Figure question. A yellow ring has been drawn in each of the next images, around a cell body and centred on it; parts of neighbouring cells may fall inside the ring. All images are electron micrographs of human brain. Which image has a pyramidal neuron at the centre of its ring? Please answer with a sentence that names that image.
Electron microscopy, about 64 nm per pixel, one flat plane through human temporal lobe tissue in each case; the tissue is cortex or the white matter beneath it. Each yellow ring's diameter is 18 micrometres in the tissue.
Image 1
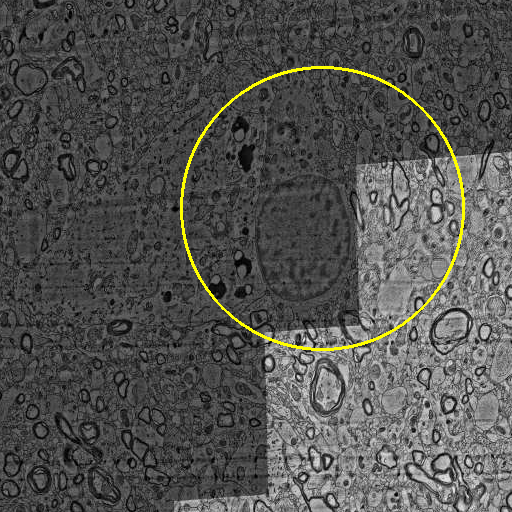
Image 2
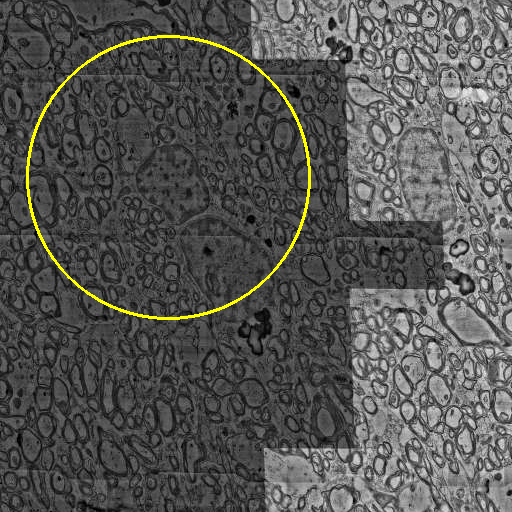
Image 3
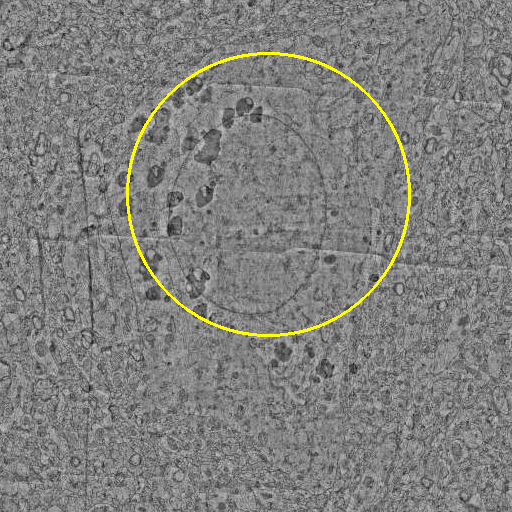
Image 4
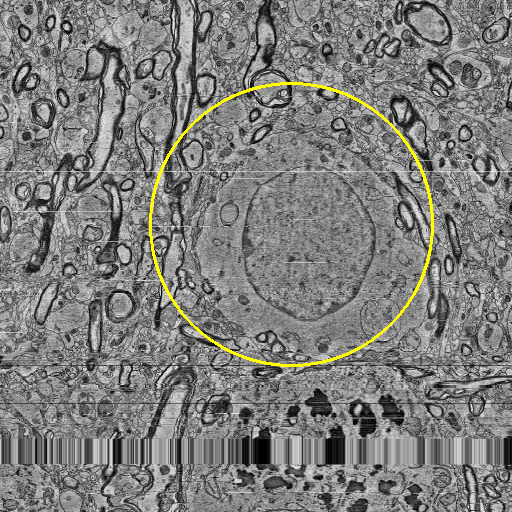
The cell at the centre of the ring in Image 3 is of that kind.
